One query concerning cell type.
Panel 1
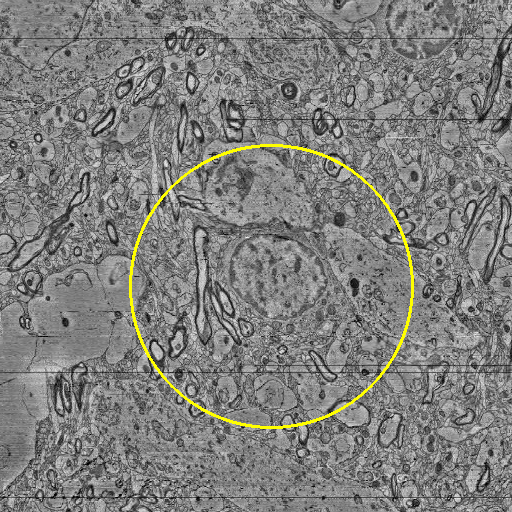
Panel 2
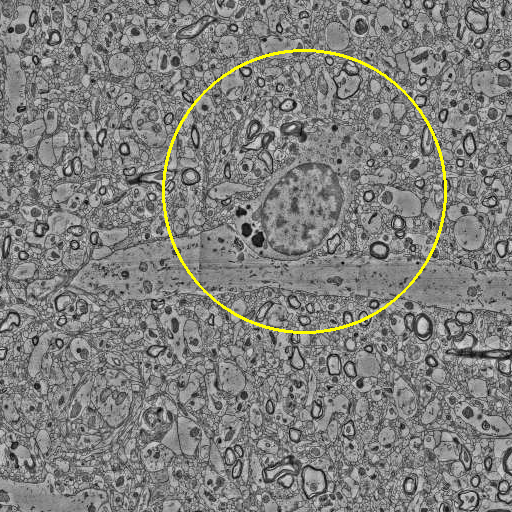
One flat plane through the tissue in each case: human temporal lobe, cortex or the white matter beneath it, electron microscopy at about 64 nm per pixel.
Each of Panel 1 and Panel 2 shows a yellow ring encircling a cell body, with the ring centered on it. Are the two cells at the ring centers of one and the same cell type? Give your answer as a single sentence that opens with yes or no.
Yes, the cell centered in Panel 1 and the one in Panel 2 share a type.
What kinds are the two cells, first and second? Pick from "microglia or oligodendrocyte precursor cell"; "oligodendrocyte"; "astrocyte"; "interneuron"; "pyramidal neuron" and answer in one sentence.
Each of the two rings surrounds an oligodendrocyte.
